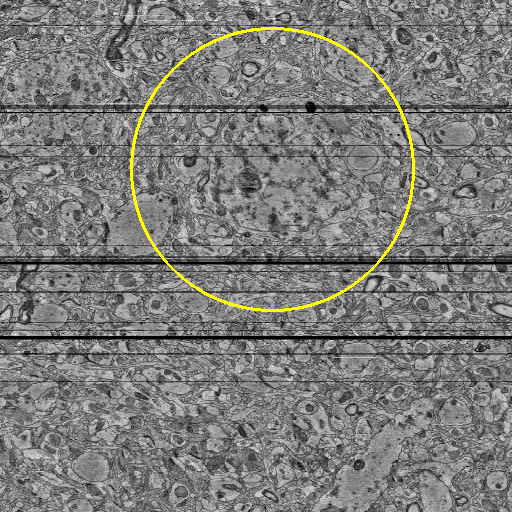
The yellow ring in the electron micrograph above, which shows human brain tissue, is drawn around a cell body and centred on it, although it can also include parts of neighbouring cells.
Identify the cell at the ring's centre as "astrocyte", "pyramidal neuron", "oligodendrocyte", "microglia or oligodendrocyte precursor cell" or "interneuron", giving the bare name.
interneuron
